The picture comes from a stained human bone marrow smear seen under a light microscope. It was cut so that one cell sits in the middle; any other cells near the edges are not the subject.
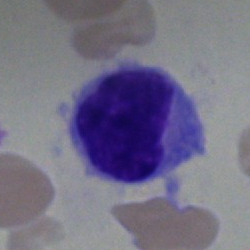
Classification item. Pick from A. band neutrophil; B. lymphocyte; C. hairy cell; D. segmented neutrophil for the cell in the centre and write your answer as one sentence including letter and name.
Answer key: option C, the middle cell being a hairy cell.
